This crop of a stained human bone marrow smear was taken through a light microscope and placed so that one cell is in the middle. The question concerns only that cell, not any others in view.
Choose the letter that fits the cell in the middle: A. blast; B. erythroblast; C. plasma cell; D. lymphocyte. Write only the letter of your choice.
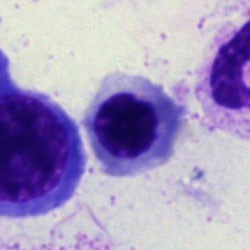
B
